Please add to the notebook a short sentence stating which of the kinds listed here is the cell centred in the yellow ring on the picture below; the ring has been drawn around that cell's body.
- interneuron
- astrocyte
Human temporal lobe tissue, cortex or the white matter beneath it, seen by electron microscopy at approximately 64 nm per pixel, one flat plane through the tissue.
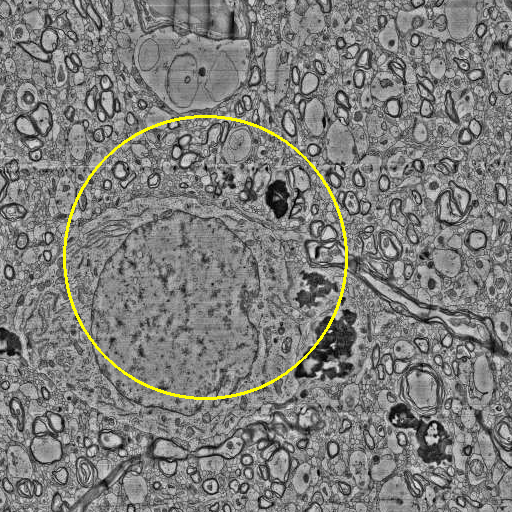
The cell centred in the yellow ring is an interneuron.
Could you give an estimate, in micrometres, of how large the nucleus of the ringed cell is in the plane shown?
The nucleus of the ringed cell is approximately 12 micrometres across in this plane.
